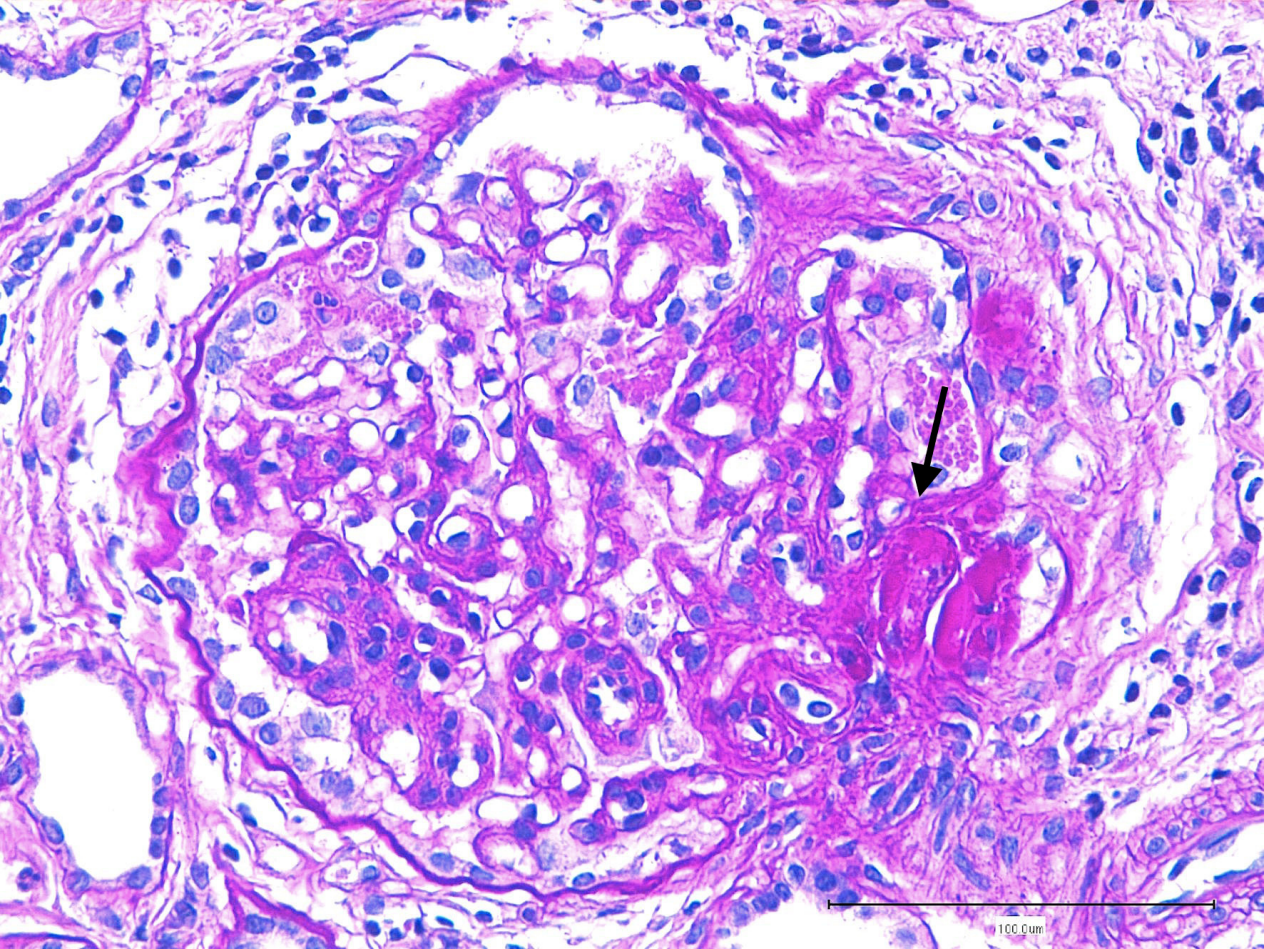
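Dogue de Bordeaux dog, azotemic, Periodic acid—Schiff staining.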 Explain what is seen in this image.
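This is a kidney glomerulus: a rounded tuft of capillary loops held inside a thin, wavy magenta capsule, with tubules and loose interstitium around it. Plump cells with pale cytoplasm and round blue nuclei sit on the outer surface of the loops and line the capsule, larger than usual. At the lower right edge of the tuft lie glassy, smooth, deep magenta masses without nuclei, a deposit of hyaline material.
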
